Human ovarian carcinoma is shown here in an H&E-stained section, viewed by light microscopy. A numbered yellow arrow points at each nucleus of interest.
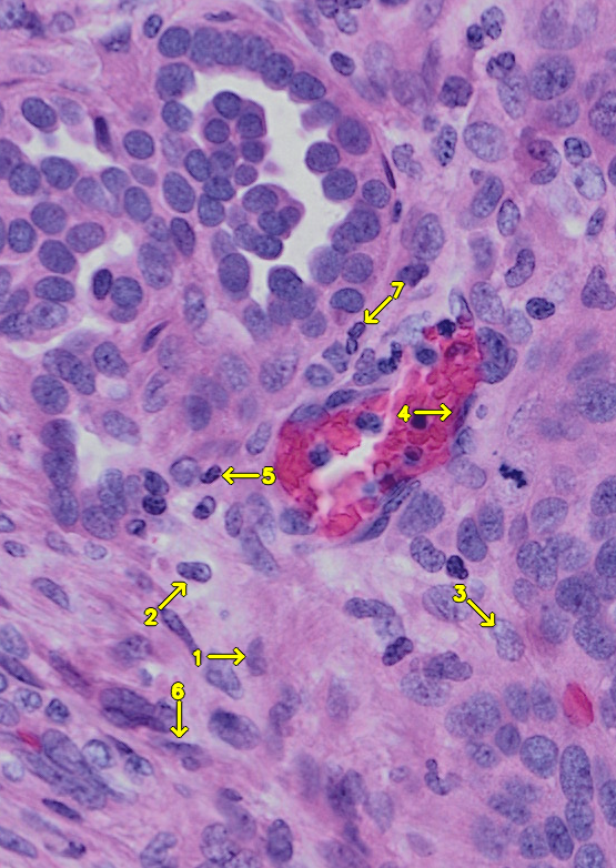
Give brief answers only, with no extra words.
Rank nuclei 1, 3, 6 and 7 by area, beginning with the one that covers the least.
7, 6, 1, 3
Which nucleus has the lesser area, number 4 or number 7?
7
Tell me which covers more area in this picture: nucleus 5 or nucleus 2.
2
